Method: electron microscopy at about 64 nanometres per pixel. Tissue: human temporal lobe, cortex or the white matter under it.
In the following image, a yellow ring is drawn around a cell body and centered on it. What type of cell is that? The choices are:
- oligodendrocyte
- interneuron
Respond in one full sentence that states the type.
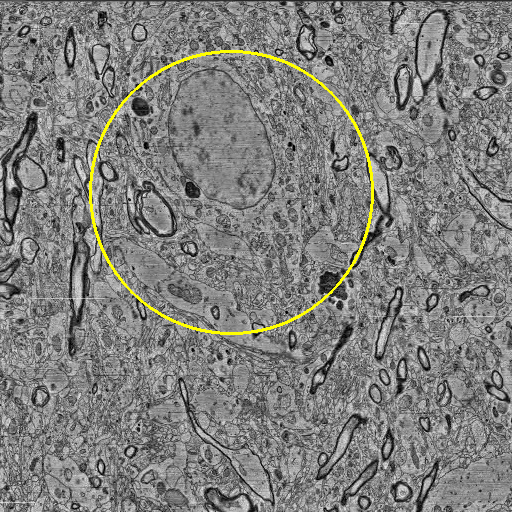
The cell at the center of the yellow ring in the image is an interneuron.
